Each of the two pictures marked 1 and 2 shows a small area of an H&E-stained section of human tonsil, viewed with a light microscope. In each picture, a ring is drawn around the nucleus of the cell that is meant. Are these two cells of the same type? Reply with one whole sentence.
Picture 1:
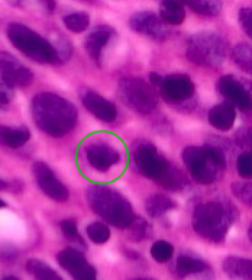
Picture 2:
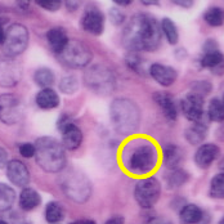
No. Picture 1 shows a squamous epithelial cell, but picture 2 shows an endothelial cell.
